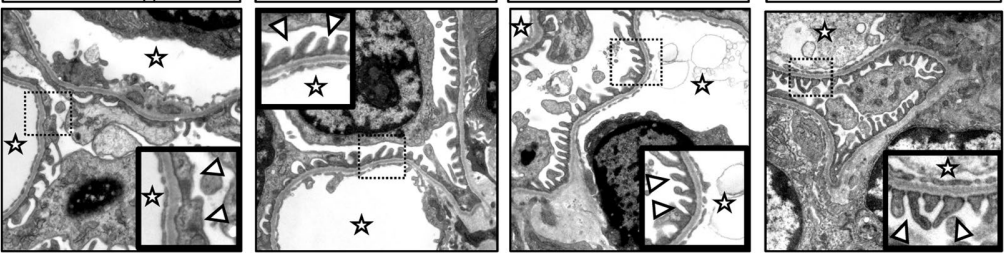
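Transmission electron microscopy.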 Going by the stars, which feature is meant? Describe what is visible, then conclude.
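The stars lie in pale open spaces. These spaces are bounded by a thin dense membrane lined by a thin cell layer.
Conclusion: glomerular capillary lumens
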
